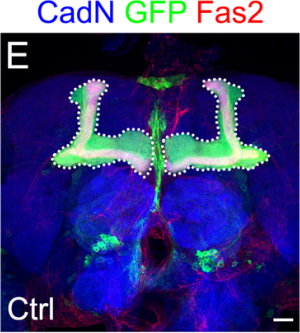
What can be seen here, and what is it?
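The central brain shows paired mushroom bodies, outlined by dotted lines, as bright green L-shaped structures with a vertical lobe rising on each side and a horizontal lobe extending toward the midline, the lobes tinged pink by red co-staining. The blue neuropil fills the rest of the brain, and a thin green bundle runs down the midline.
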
